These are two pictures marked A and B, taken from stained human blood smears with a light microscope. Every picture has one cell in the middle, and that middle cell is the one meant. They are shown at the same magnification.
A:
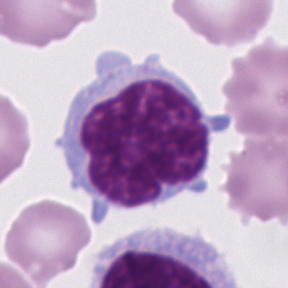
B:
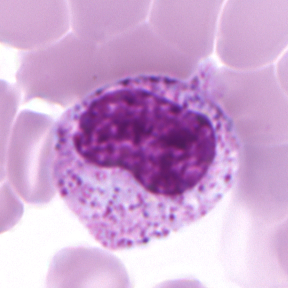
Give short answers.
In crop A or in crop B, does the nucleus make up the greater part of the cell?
A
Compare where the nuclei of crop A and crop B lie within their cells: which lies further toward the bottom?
A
